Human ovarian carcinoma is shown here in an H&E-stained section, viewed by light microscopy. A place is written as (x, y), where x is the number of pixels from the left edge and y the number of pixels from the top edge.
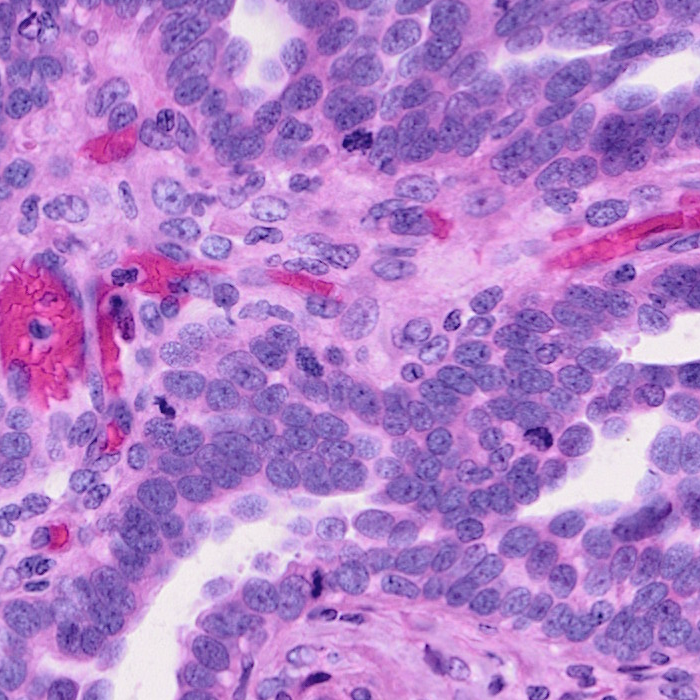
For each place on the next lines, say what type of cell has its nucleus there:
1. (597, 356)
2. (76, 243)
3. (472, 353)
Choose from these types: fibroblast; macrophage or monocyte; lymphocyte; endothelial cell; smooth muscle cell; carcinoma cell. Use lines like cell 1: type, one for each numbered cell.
cell 1: carcinoma cell
cell 2: fibroblast
cell 3: carcinoma cell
